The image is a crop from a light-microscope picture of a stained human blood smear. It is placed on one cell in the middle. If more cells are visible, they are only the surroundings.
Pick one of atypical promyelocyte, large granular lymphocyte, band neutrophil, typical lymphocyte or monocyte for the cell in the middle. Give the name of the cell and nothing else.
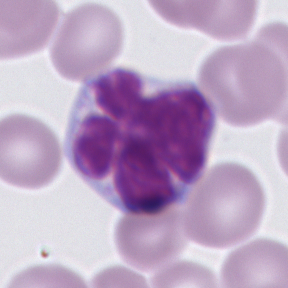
large granular lymphocyte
